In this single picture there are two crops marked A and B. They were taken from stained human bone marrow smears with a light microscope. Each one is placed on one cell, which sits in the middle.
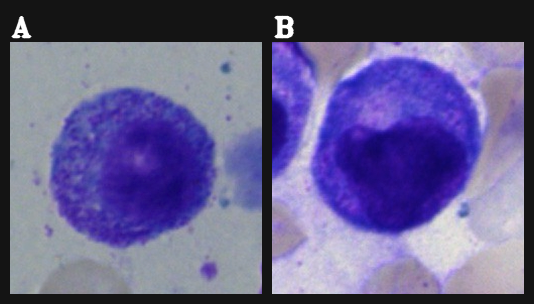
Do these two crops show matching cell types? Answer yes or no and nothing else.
yes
